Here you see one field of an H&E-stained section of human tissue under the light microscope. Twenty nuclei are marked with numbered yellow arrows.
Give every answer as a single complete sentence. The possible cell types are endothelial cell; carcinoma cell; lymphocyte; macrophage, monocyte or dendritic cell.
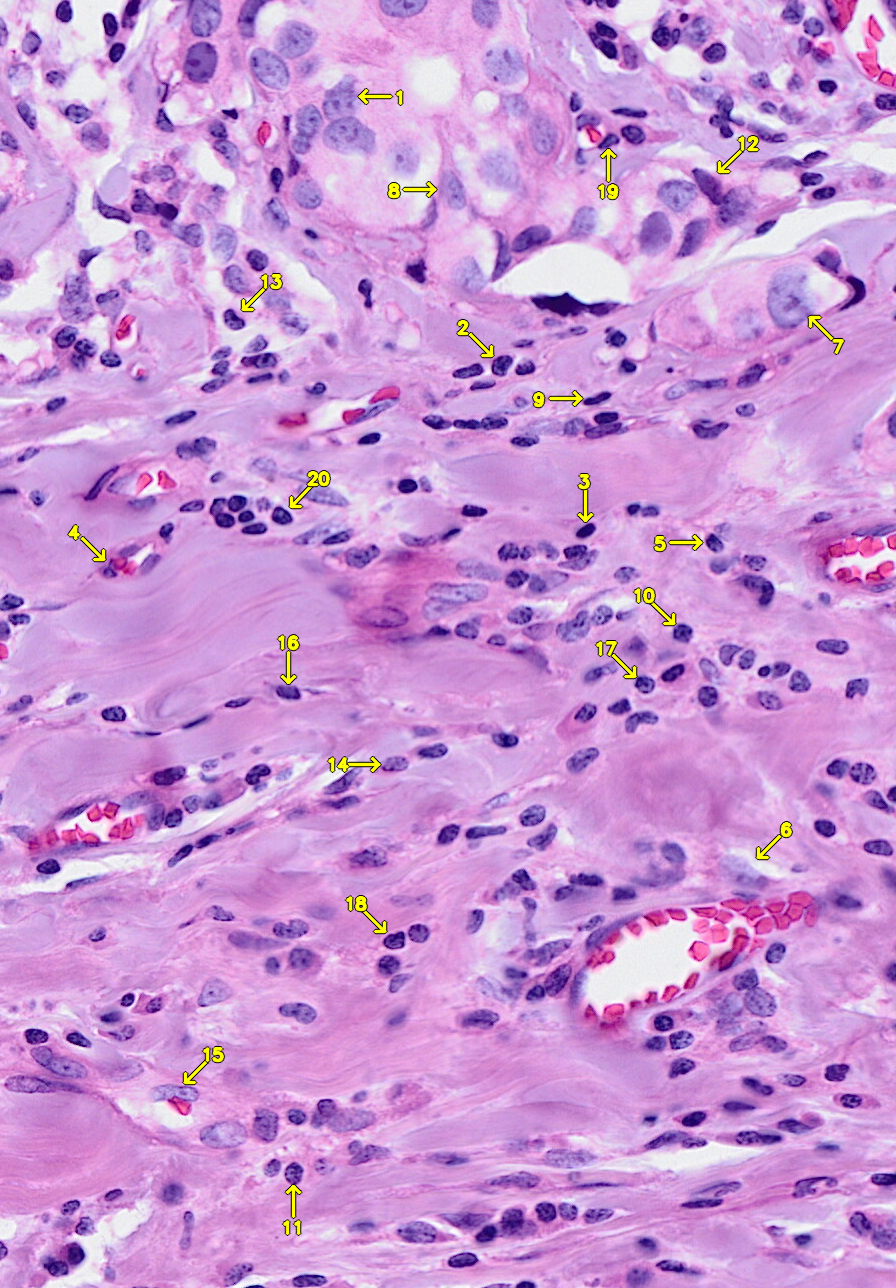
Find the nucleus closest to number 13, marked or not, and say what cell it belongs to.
It is a macrophage, monocyte or dendritic cell whose nucleus is nearest to number 13.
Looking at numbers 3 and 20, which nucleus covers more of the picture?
Number 20 is larger; its area is about 1.5 times that of number 3.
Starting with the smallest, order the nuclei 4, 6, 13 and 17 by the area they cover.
The order from the smallest nucleus to the largest is 4, 17, 13, 6.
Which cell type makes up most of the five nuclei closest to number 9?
Lymphocytes account for more than half of the five nuclei nearest to number 9.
